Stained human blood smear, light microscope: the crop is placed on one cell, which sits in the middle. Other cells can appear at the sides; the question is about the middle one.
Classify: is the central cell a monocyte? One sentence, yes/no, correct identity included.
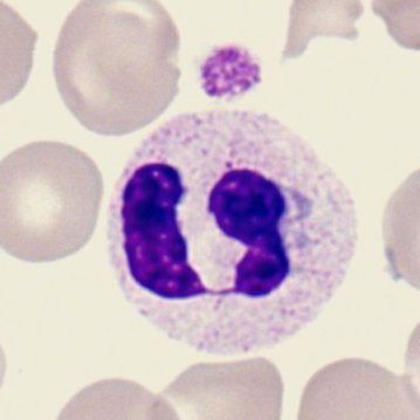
No, the central cell does not count as a monocyte; it is a neutrophil.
